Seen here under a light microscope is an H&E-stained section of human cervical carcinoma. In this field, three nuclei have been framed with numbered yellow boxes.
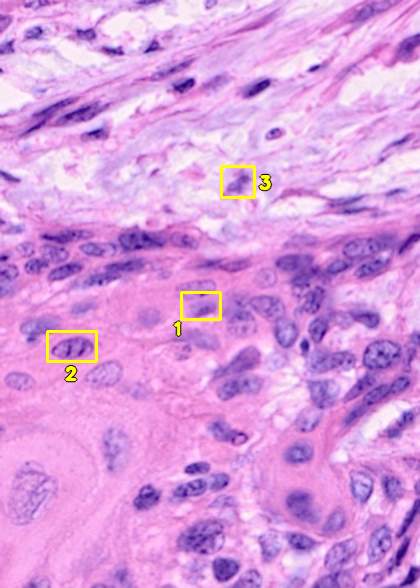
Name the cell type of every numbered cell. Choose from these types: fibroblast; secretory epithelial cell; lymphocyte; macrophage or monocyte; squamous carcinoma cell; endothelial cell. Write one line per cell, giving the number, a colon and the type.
1: squamous carcinoma cell
2: squamous carcinoma cell
3: fibroblast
